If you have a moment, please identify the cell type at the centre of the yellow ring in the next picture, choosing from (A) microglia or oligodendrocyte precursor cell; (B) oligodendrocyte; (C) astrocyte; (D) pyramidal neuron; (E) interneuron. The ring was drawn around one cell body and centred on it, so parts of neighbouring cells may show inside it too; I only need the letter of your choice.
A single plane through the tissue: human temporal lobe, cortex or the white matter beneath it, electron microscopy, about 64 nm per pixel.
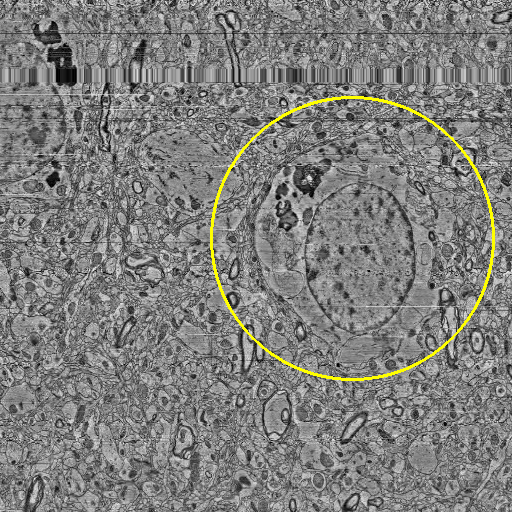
C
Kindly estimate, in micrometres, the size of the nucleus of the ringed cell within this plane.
In this plane the nucleus measures roughly 10 by 7 micrometers.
